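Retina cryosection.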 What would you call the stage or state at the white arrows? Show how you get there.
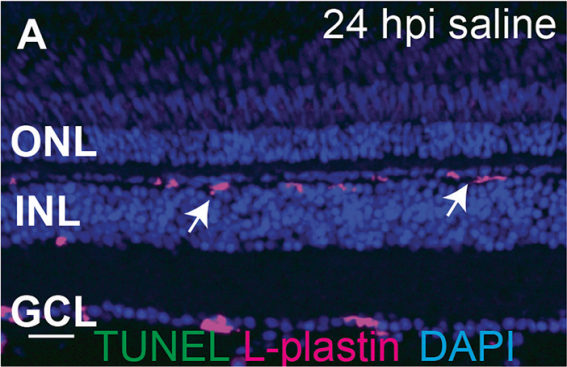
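Ramified. The magenta cells at the arrows are thin and elongated. They extend slender processes along the layer.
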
